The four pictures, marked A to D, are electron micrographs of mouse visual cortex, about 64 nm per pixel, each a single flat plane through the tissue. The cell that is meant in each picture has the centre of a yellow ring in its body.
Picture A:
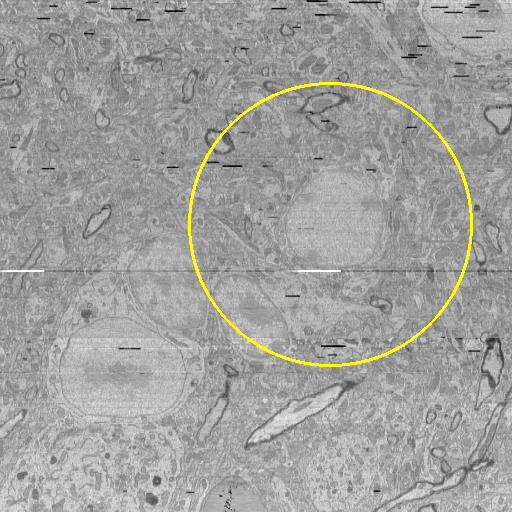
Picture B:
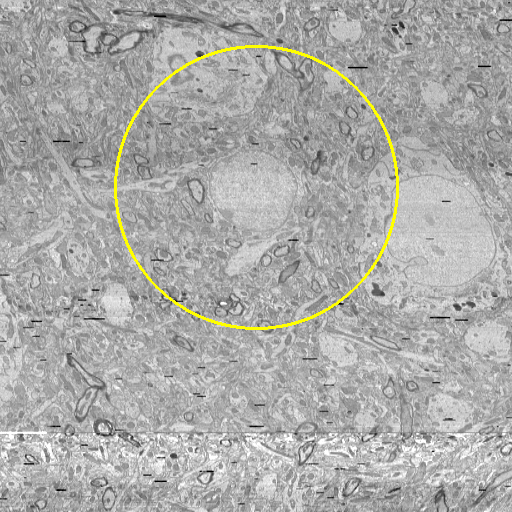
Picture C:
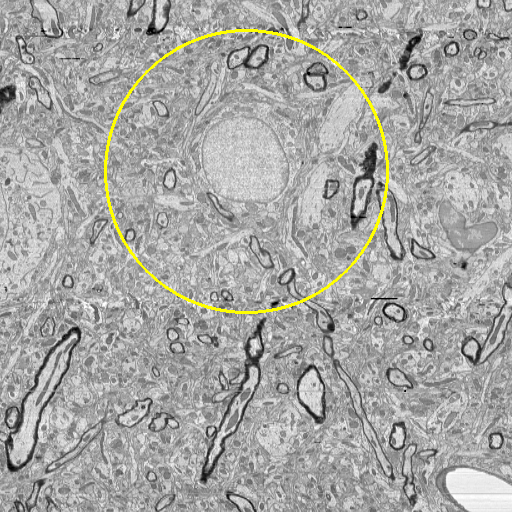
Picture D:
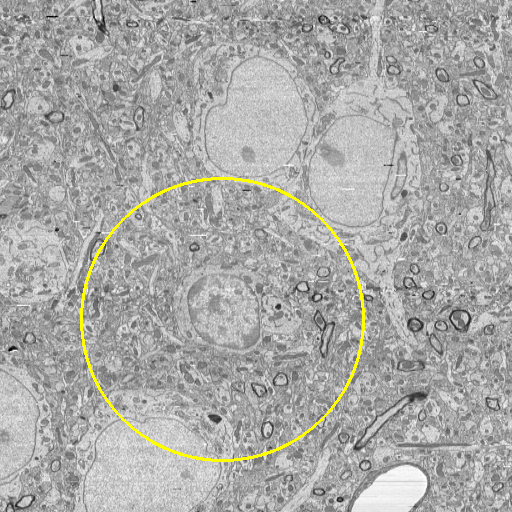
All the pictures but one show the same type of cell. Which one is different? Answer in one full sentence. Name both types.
All pictures except D show astrocytes; picture D shows an oligodendrocyte.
